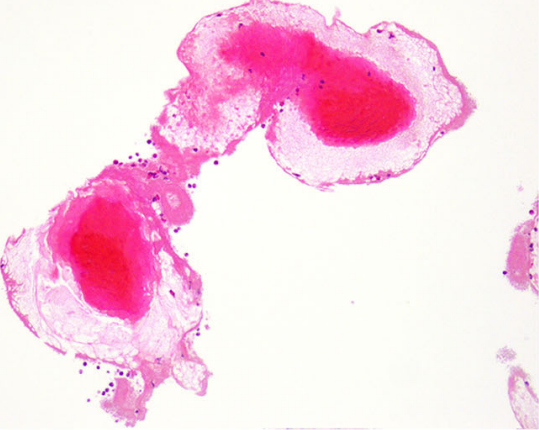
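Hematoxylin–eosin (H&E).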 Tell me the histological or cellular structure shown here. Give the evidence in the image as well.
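Loose fragments of acellular pink material. Dense deep red cores surrounded by paler pink layered material. Only scattered small nucleated cells. On this evidence: Thrombus.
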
